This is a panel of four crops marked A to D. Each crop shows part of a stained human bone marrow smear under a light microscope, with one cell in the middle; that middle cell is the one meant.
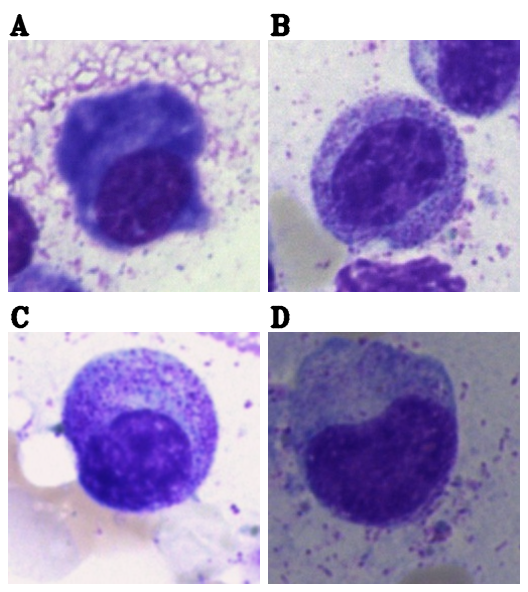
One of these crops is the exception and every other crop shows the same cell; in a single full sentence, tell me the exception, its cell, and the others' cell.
Unlike the other crops, which all show myelocytes, crop A is a plasma cell.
